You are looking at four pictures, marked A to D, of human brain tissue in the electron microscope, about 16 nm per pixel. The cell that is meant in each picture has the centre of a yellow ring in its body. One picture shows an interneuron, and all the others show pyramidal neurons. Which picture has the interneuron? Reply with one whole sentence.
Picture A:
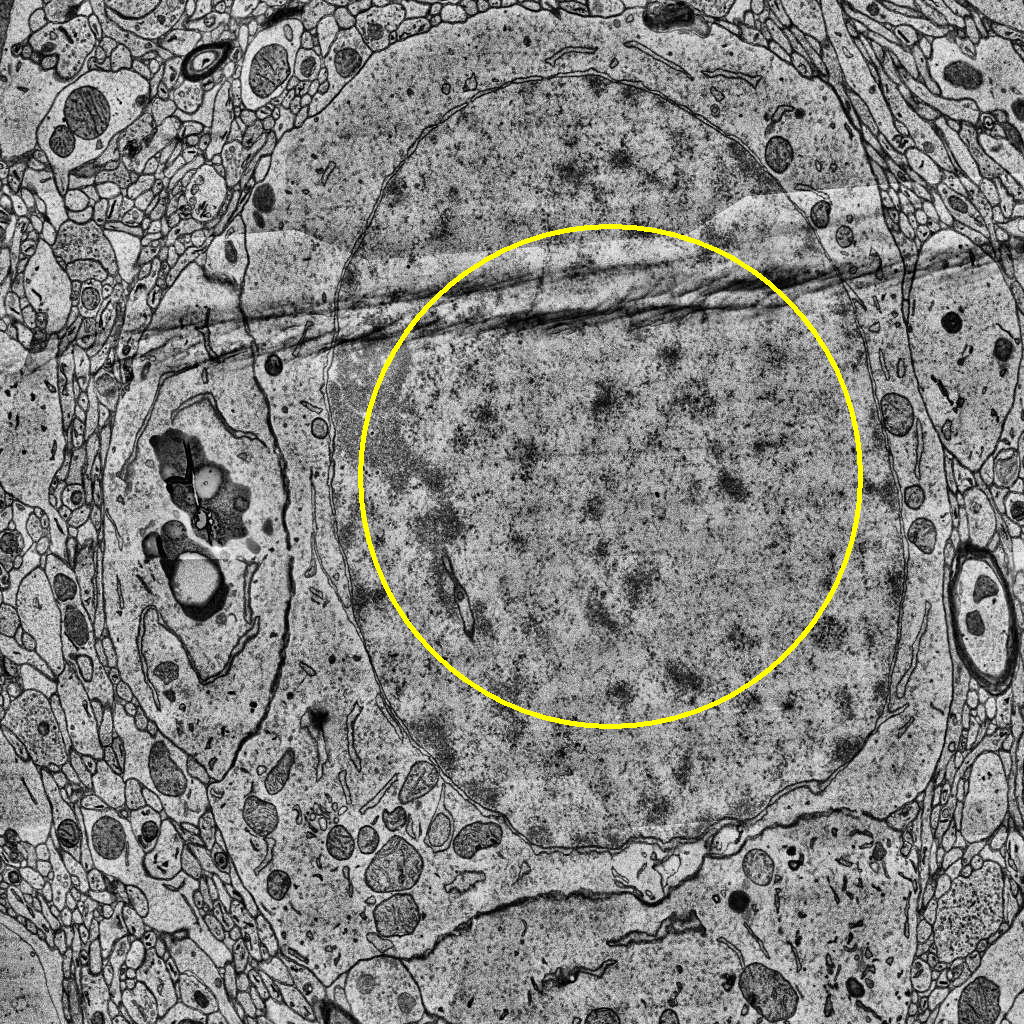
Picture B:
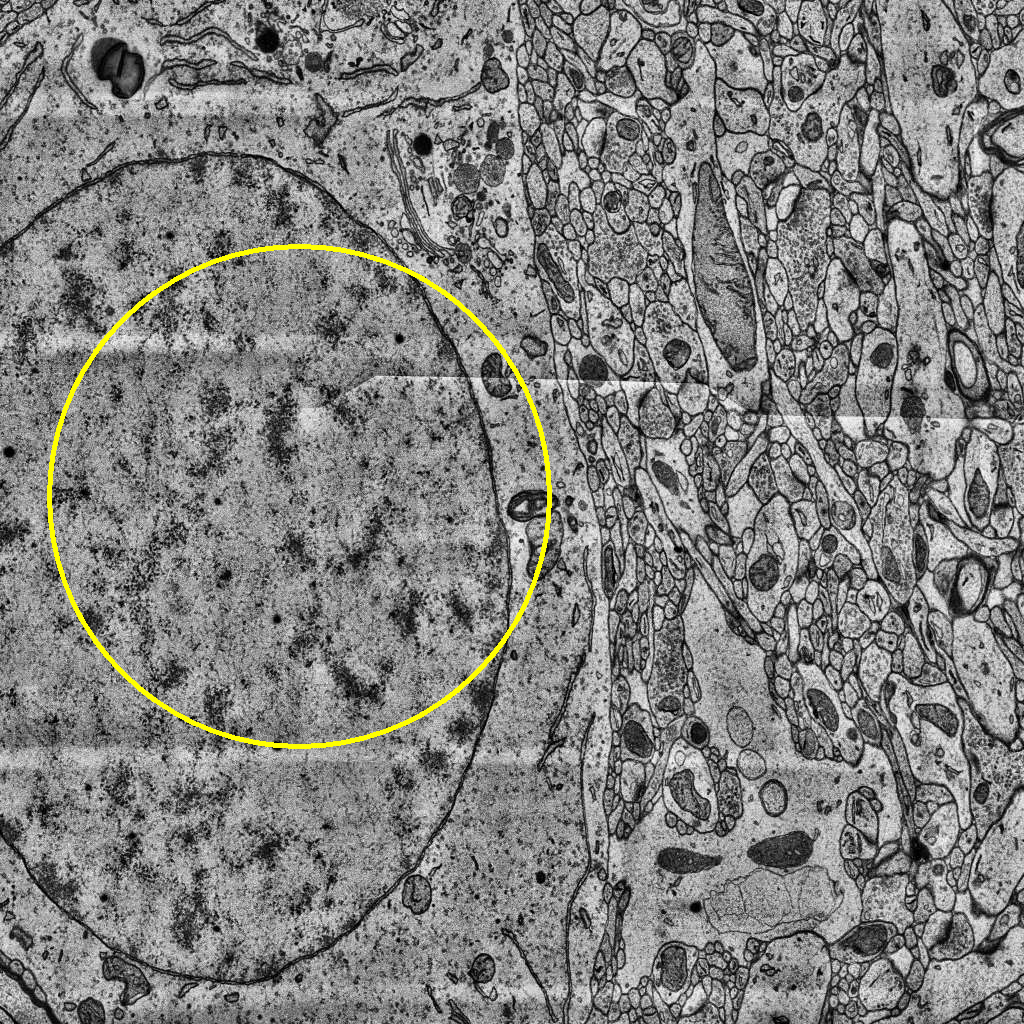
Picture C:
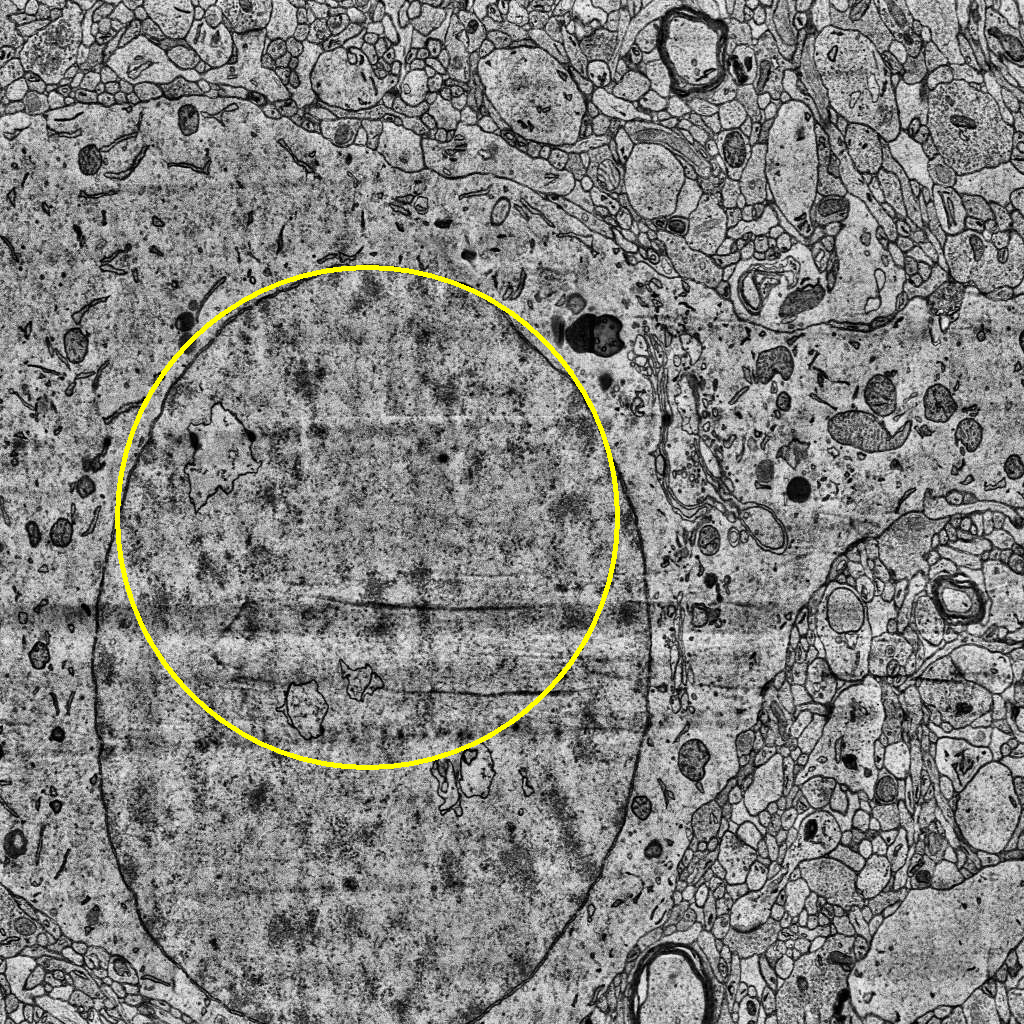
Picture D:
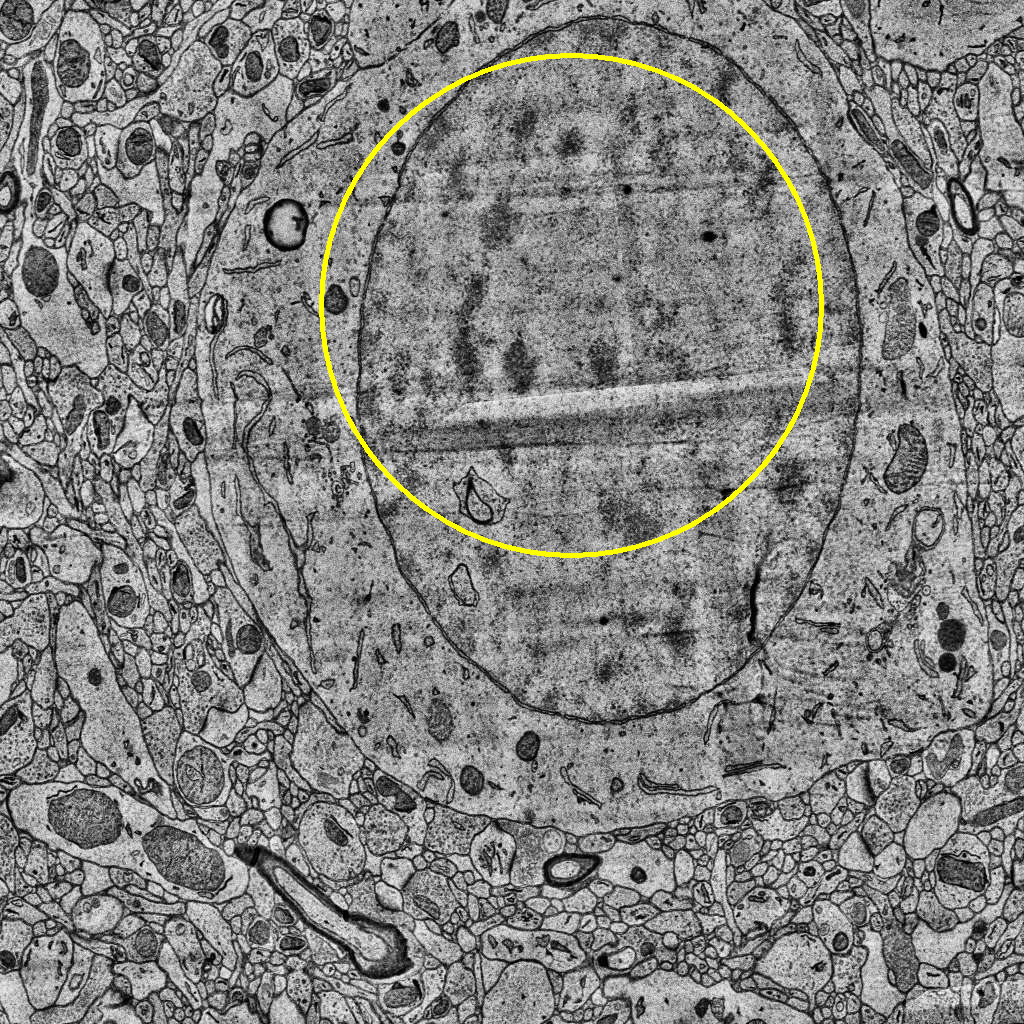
The picture with the interneuron is A.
